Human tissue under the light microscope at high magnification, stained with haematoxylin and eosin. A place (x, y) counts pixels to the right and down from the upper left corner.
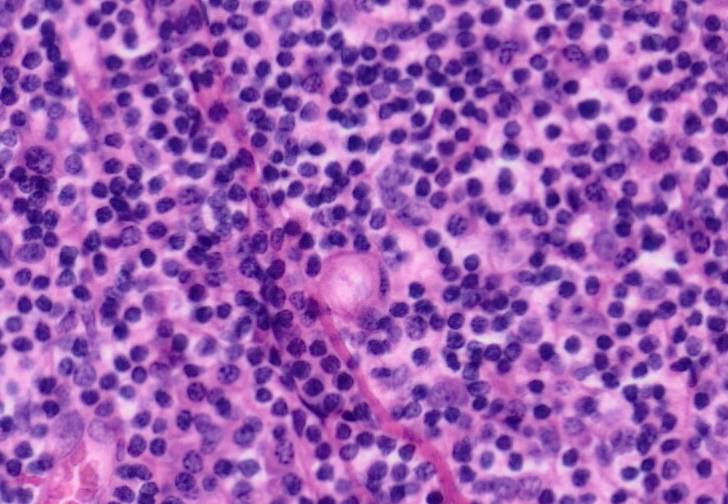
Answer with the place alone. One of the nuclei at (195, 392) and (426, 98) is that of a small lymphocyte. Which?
(426, 98)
